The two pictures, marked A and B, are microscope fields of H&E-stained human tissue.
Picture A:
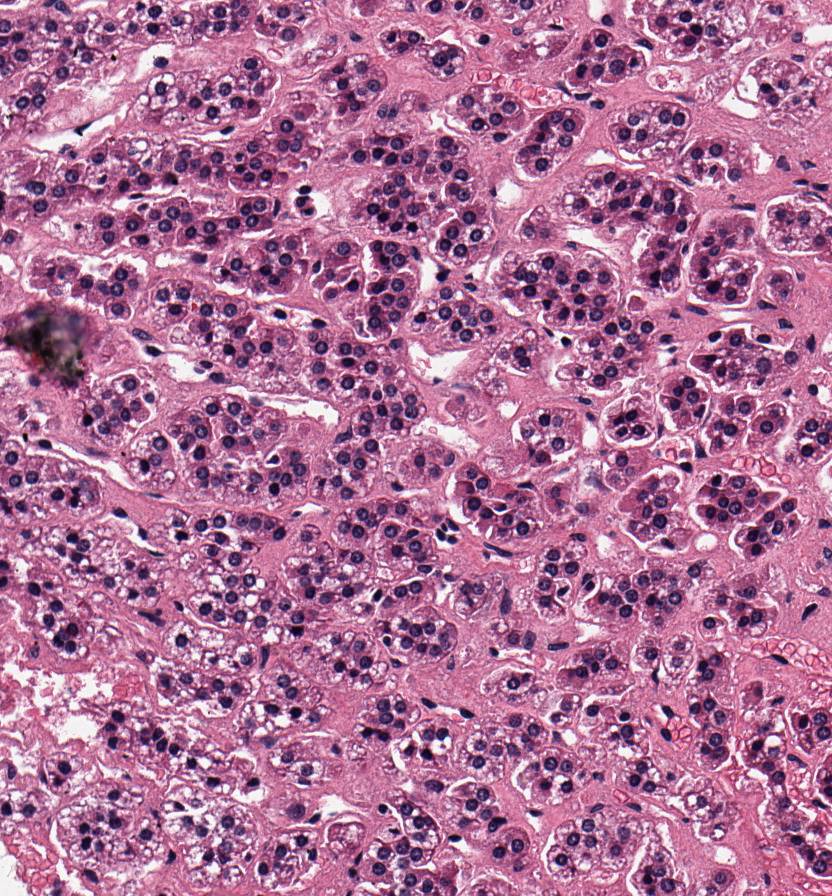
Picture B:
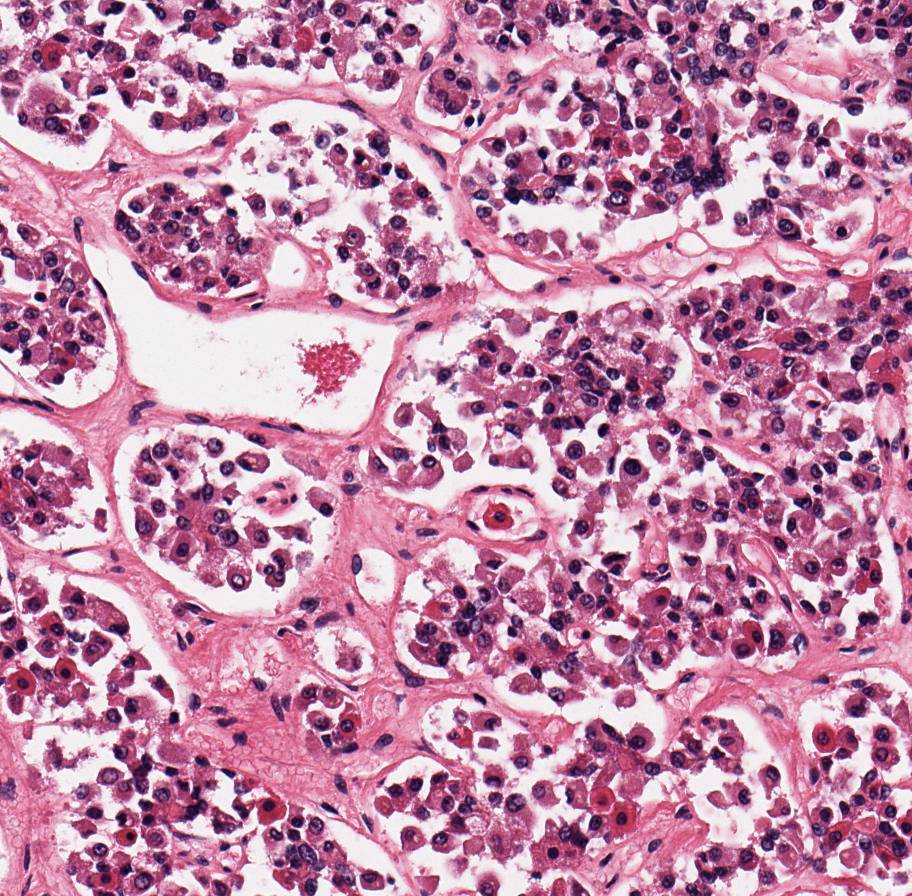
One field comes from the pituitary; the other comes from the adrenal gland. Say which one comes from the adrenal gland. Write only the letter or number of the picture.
A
